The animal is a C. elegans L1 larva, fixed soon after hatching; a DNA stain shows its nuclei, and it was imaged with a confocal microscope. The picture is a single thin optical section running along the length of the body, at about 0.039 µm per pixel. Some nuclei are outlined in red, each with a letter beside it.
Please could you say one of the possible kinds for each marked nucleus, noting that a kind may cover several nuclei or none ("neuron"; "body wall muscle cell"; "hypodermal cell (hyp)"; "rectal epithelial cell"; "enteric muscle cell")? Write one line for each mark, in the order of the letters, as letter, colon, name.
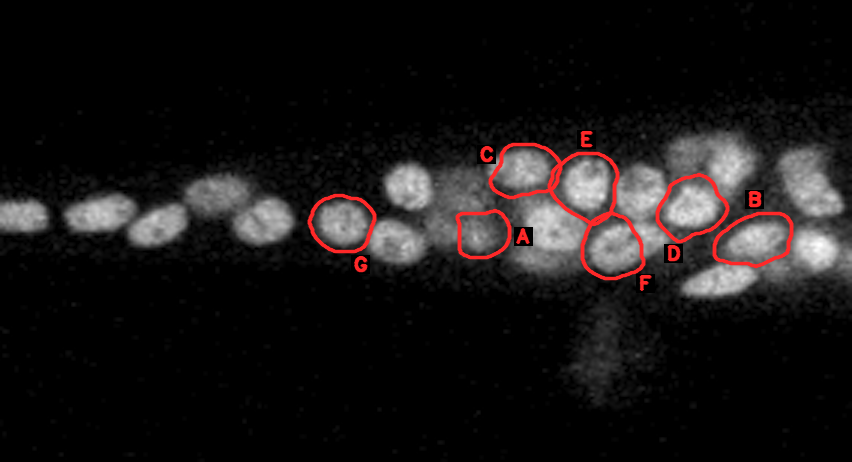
A: neuron
B: rectal epithelial cell
C: body wall muscle cell
D: rectal epithelial cell
E: enteric muscle cell
F: rectal epithelial cell
G: hypodermal cell (hyp)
